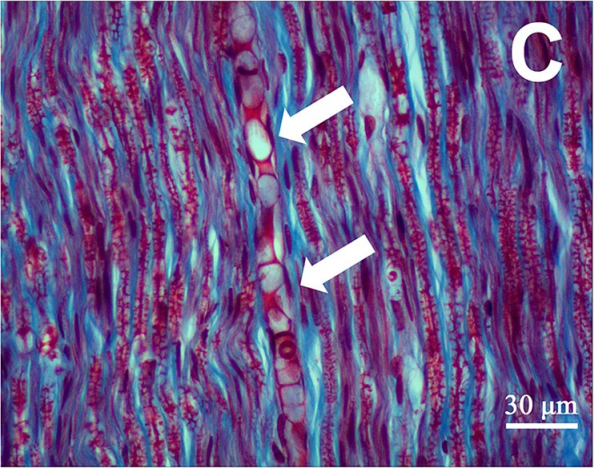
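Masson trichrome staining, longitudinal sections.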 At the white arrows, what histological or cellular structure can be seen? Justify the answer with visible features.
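The arrows point to a fiber broken into a chain of rounded compartments. The compartments are pale round spaces lined up along the fiber's length.
Conclusion: myelin ovoid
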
